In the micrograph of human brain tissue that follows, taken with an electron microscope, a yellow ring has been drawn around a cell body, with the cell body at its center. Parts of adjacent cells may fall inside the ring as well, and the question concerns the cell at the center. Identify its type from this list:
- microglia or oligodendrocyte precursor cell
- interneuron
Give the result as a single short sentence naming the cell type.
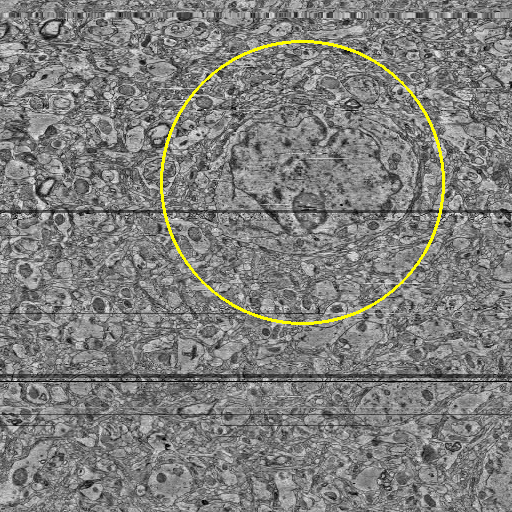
The ring is centered on an interneuron.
